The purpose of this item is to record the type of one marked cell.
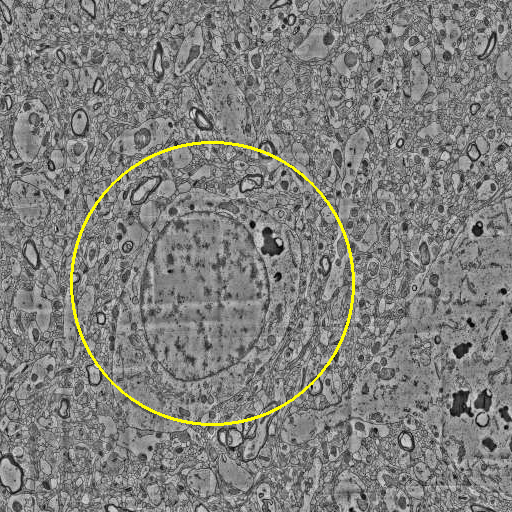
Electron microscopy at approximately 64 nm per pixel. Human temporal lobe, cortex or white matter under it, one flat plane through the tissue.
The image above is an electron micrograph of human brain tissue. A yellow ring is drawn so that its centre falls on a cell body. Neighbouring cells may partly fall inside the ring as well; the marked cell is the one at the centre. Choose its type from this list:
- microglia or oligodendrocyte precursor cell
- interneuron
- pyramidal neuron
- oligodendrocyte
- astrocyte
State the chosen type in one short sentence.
What the ring marks here is an interneuron.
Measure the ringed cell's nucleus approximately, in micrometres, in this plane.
The nucleus of the ringed cell is approximately 11 by 8 micrometres in this plane.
